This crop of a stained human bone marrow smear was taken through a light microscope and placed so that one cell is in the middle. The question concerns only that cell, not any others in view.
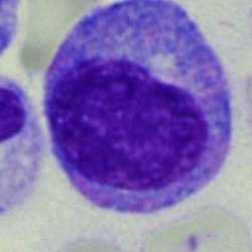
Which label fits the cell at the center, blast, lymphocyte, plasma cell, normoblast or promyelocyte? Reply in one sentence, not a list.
In the centre of this crop there is a promyelocyte.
